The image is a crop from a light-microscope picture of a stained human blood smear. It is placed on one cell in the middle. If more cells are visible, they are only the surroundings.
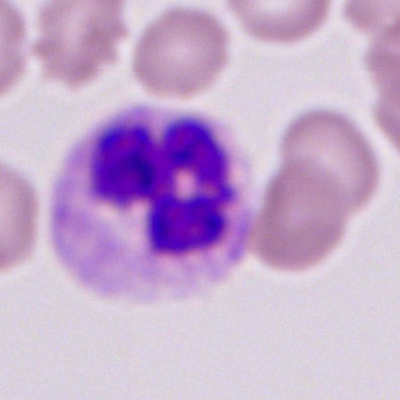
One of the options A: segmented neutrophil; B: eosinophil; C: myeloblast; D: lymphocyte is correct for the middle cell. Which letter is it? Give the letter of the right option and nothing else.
A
